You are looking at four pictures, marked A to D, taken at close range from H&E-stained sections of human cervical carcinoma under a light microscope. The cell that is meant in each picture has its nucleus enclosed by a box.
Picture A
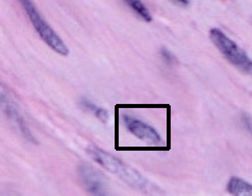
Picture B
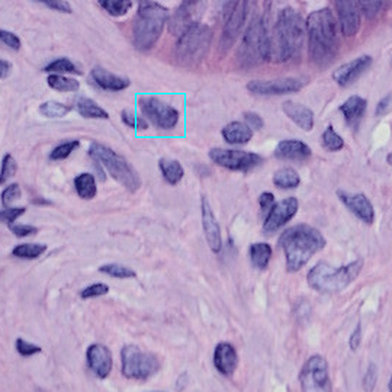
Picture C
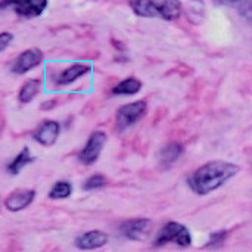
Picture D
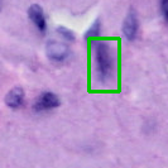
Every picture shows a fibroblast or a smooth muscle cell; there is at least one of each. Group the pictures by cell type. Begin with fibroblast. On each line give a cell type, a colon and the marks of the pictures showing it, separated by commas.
fibroblast: A, B, D
smooth muscle cell: C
